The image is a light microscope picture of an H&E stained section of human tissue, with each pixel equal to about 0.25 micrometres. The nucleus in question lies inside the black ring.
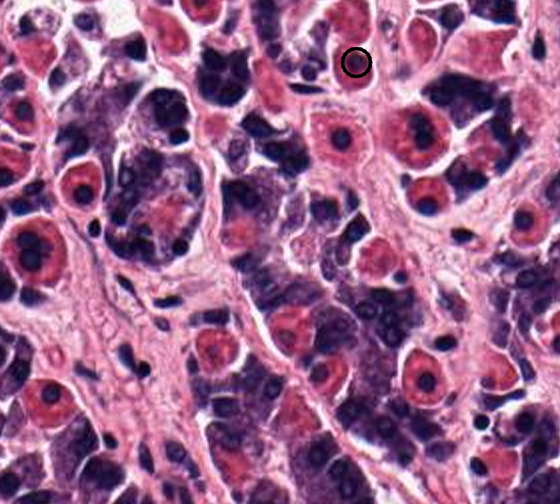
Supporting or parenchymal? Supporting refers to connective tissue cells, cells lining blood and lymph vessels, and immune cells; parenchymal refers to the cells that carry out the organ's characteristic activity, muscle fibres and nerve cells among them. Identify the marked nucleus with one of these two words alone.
parenchymal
